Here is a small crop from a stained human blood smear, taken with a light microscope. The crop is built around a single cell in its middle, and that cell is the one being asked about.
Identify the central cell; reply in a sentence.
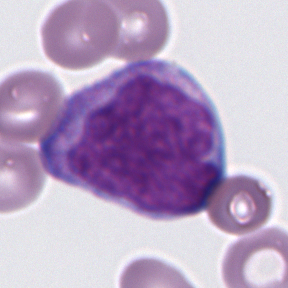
The middle cell in this particular crop is an atypical promyelocyte.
